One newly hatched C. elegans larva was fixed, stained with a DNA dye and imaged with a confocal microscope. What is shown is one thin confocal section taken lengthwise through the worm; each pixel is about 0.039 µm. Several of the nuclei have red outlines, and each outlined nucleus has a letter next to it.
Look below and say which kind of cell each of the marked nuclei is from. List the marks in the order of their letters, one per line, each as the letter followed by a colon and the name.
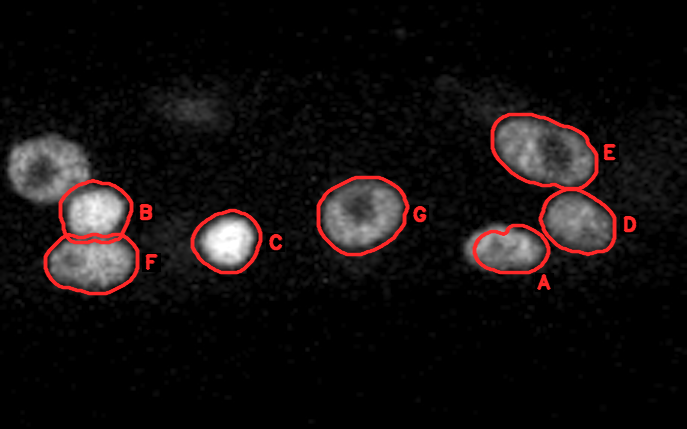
A: P cell (ventral epidermal blast cell)
B: neuron
C: neuron
D: Q neuroblast
E: hypodermal cell (hyp)
F: P cell (ventral epidermal blast cell)
G: seam cell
